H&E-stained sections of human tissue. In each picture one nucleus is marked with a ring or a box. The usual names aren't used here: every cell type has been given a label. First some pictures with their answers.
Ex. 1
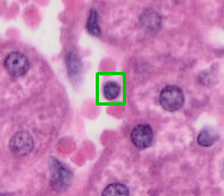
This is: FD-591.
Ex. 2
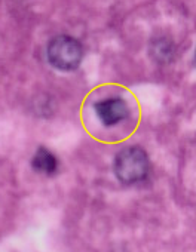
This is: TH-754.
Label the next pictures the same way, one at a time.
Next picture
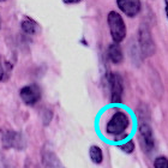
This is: FD-591.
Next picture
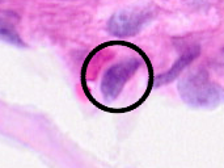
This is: TH-754.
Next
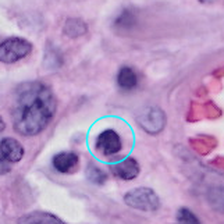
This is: FD-591.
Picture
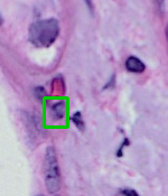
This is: TH-754.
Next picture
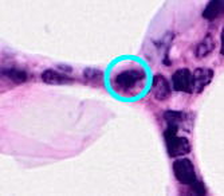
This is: FD-591.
